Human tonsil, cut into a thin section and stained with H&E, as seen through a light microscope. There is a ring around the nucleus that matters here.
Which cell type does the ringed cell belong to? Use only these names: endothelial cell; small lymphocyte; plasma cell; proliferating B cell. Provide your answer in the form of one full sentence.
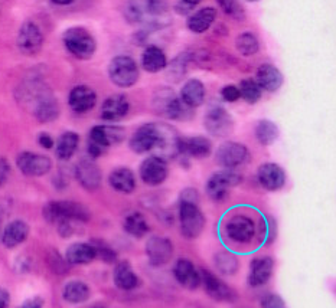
It is as a plasma cell that the ringed cell is recorded.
